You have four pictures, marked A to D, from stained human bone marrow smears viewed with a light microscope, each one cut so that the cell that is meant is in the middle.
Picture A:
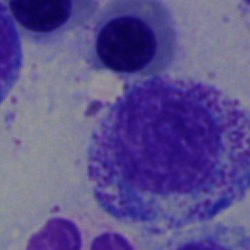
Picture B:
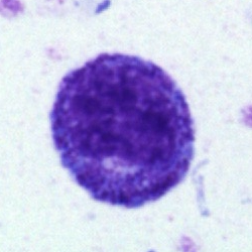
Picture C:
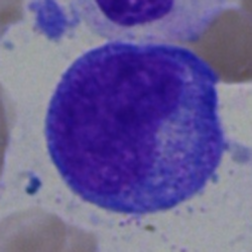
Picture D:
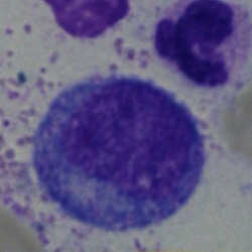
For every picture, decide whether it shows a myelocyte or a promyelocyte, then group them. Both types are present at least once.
A: myelocyte
B: promyelocyte
C: promyelocyte
D: promyelocyte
